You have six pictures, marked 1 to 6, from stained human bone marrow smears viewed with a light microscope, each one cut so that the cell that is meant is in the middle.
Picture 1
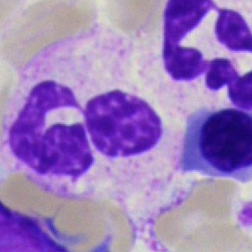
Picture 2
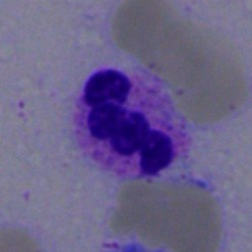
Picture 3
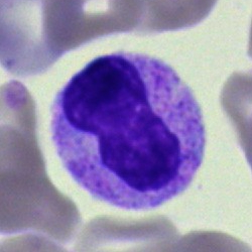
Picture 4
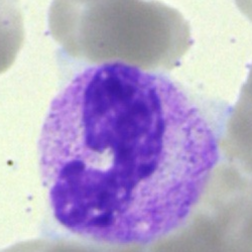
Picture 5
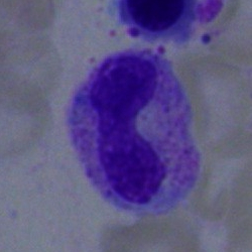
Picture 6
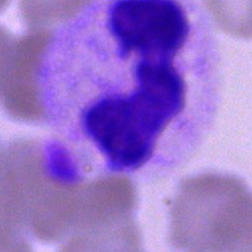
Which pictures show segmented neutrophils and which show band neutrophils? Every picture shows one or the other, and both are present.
1: segmented neutrophil
2: segmented neutrophil
3: band neutrophil
4: segmented neutrophil
5: band neutrophil
6: segmented neutrophil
